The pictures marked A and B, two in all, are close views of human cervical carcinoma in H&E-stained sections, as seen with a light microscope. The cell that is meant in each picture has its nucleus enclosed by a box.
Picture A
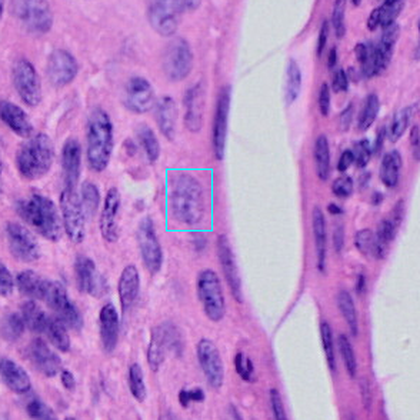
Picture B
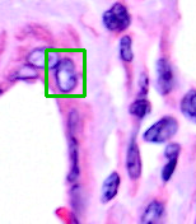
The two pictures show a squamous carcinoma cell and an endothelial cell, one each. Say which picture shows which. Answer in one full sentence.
In picture A the cell is a squamous carcinoma cell; in picture B, an endothelial cell.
